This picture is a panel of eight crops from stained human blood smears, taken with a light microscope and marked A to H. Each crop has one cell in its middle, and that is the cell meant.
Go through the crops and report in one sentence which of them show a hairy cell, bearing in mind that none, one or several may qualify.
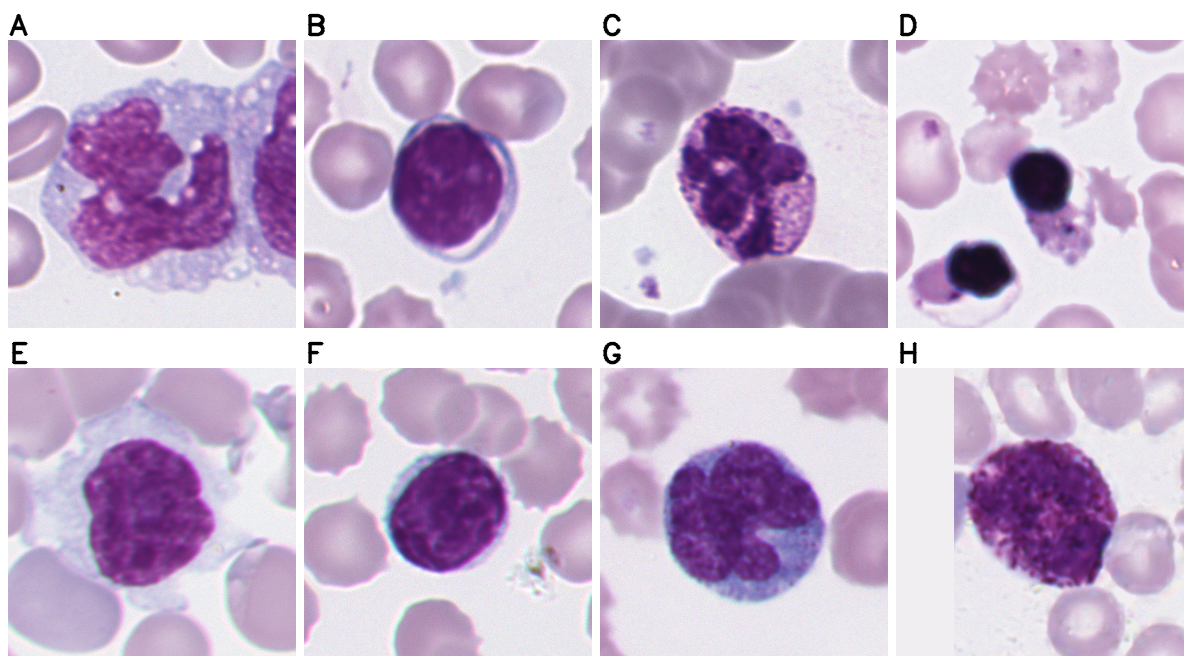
Among all the crops, crop E is the only one to show a hairy cell.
